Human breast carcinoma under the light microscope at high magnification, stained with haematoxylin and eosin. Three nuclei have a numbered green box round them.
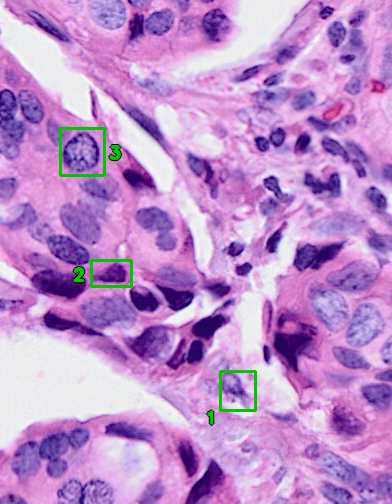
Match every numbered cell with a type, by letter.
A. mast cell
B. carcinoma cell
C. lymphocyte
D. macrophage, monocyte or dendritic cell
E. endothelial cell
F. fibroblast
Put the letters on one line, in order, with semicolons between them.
F; B; B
